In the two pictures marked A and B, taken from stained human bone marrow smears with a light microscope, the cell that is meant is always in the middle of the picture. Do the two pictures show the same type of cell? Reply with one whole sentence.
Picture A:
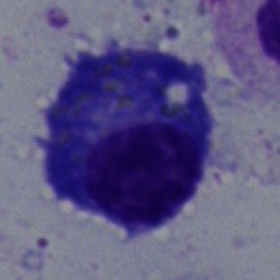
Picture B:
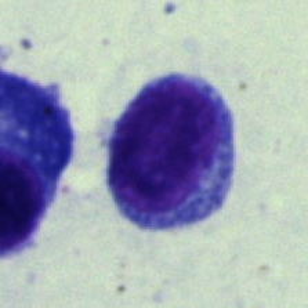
No, they differ: the cell is a plasma cell in picture A and a lymphocyte in picture B.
